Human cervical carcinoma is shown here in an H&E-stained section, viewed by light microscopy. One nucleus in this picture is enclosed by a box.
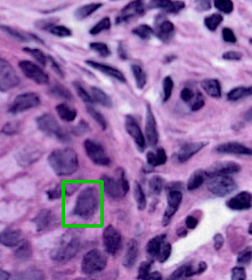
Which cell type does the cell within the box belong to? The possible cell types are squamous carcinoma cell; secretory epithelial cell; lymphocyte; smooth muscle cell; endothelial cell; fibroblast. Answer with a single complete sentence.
Speaking plainly, the cell within the box is nothing other than a secretory epithelial cell.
